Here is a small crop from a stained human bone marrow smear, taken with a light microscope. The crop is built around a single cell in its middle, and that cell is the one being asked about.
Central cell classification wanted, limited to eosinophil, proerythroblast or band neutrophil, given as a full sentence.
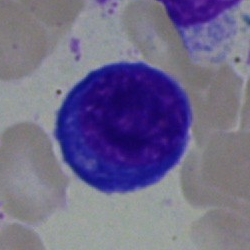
Classified as a proerythroblast is the cell in the middle of this crop.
